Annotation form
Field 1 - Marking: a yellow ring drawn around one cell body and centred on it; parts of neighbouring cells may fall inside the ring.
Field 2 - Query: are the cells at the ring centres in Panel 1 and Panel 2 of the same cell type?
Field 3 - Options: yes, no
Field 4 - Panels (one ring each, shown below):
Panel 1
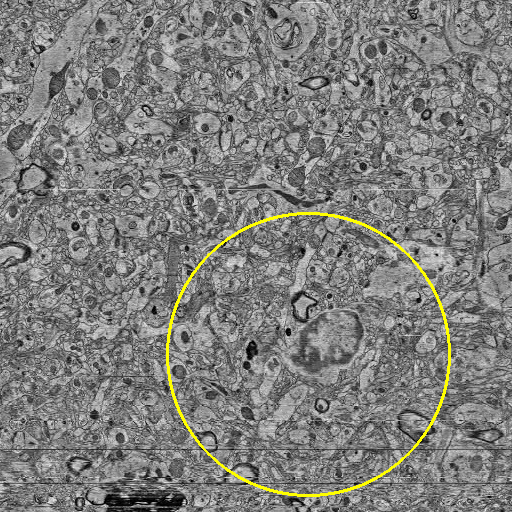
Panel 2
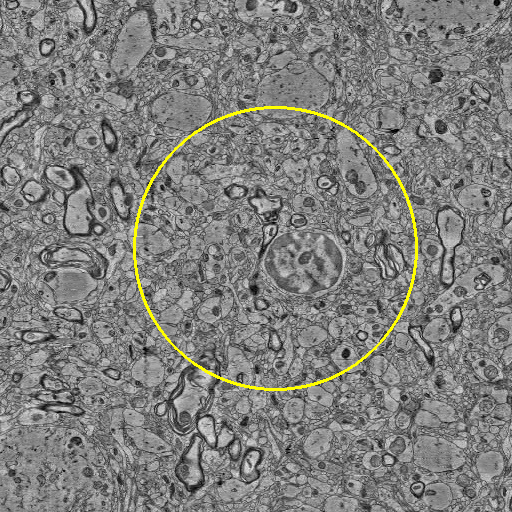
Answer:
yes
